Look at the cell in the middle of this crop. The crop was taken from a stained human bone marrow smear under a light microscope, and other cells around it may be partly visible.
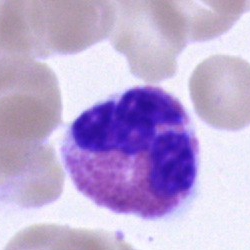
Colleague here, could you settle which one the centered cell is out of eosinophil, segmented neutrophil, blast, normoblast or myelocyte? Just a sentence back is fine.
The central cell, amid any neighbouring cells, is an eosinophil.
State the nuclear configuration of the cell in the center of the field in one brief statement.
Counting the nuclear lobes gives a total of at least two.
